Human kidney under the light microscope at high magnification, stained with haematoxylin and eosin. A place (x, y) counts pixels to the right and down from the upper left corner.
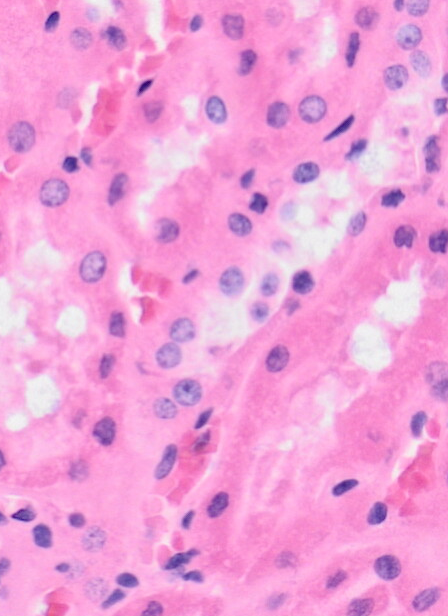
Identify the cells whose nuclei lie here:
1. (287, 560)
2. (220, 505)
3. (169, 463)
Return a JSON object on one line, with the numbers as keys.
{"1": "proximal tubule cell", "2": "proximal tubule cell", "3": "endothelial cell"}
